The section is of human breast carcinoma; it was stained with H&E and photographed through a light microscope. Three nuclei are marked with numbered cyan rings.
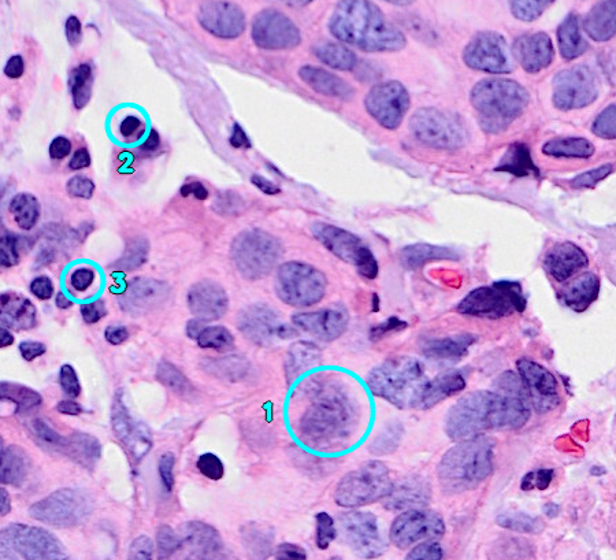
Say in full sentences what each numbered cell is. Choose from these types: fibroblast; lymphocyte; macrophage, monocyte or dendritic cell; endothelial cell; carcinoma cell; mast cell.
Cell 1 is a carcinoma cell, cell 2 is a lymphocyte and cell 3 is a lymphocyte.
